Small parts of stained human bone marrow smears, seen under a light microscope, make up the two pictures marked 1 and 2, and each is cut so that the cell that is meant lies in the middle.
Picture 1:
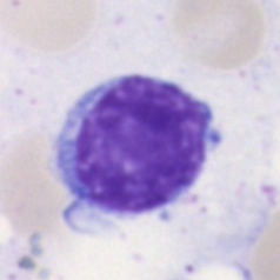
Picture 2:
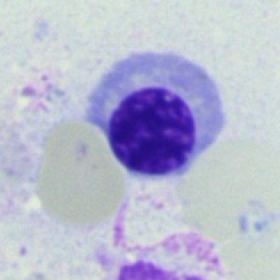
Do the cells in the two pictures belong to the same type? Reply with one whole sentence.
No, they differ: the cell is a lymphocyte in picture 1 and an erythroblast in picture 2.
